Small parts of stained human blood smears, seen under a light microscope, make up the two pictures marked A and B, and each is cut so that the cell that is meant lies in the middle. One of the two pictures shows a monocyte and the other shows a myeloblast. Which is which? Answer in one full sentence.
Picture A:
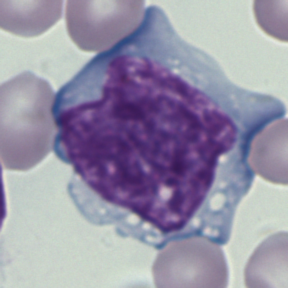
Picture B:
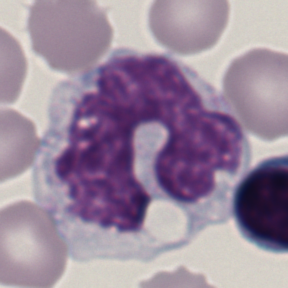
In picture A the cell is a myeloblast; in picture B, a monocyte.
